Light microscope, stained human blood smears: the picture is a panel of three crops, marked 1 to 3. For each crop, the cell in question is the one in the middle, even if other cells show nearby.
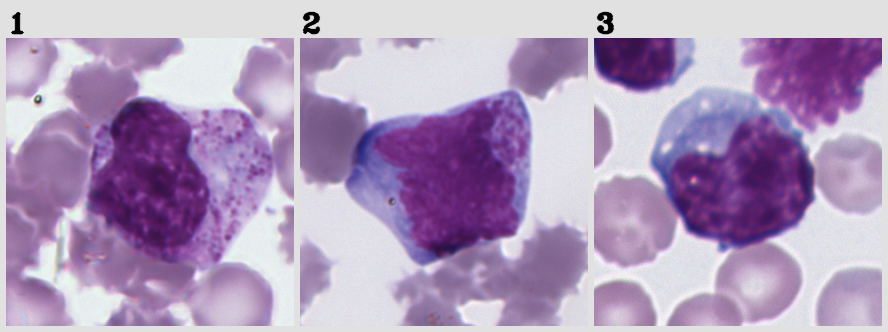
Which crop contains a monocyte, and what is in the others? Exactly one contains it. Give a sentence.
In crop 3, a monocyte is the cell shown, while crop 1 is a metamyelocyte and crop 2 is a myeloblast.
